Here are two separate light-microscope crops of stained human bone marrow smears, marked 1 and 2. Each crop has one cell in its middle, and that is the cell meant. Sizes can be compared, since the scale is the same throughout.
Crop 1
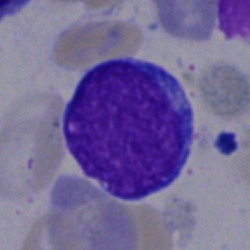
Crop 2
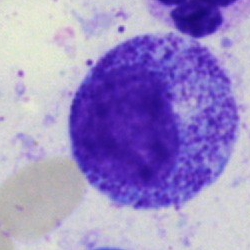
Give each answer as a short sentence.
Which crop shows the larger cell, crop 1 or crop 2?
Larger is the cell in crop 2, at roughly 1.5 times the area of the other.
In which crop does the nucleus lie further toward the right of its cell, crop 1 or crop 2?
In crop 1 the nucleus is shifted more toward the right.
